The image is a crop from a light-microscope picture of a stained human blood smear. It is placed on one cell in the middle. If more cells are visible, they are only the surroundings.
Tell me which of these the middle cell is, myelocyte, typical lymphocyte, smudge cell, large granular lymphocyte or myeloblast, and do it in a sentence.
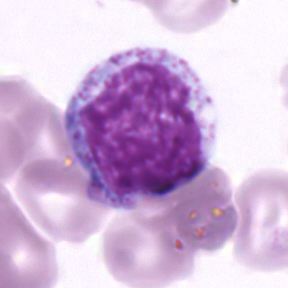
Regarding the central cell, it is a myelocyte.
